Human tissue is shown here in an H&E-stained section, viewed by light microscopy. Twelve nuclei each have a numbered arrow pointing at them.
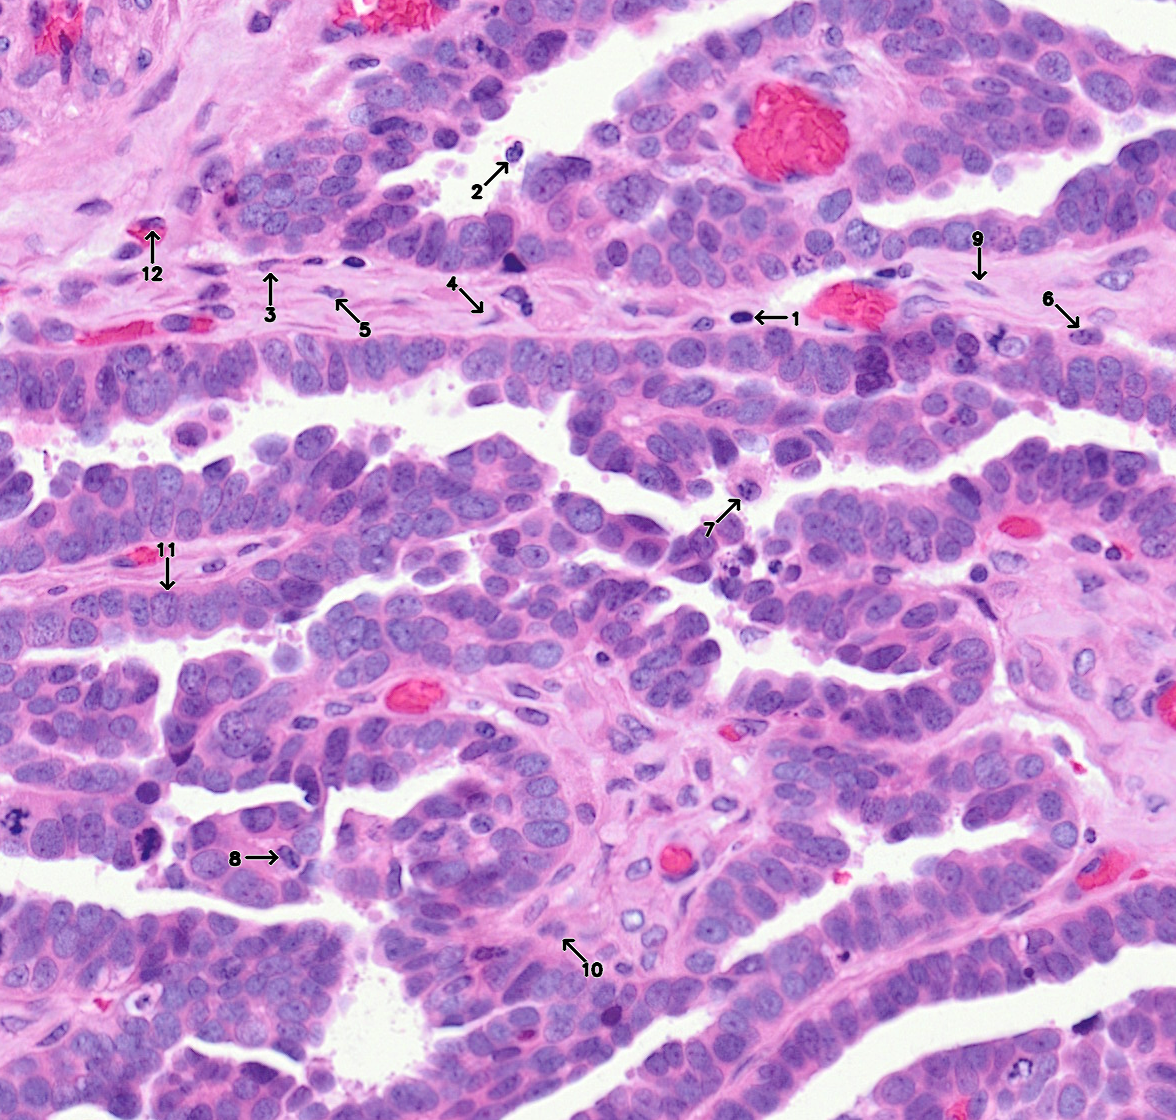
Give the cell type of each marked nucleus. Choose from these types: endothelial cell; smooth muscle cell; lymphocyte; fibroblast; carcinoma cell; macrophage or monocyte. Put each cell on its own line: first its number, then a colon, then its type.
1: lymphocyte
2: lymphocyte
3: fibroblast
4: fibroblast
5: fibroblast
6: macrophage or monocyte
7: macrophage or monocyte
8: macrophage or monocyte
9: fibroblast
10: macrophage or monocyte
11: carcinoma cell
12: endothelial cell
